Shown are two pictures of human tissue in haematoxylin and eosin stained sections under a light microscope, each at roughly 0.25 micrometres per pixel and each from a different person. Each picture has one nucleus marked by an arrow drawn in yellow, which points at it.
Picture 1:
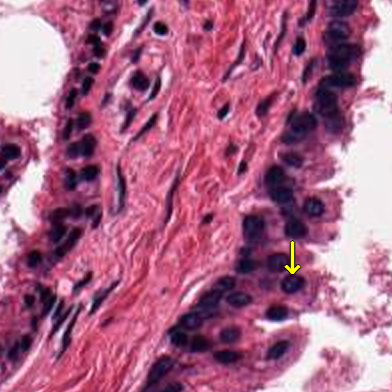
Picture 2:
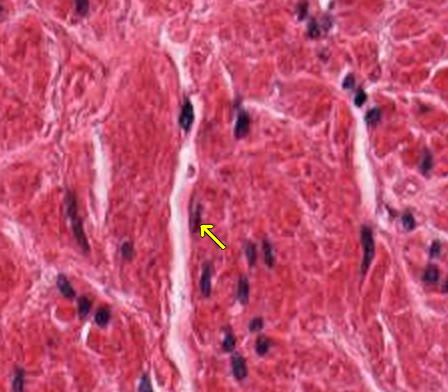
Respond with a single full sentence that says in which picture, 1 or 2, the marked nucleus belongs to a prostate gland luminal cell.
The marked nucleus, in picture 1, belongs to a prostate gland luminal cell.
